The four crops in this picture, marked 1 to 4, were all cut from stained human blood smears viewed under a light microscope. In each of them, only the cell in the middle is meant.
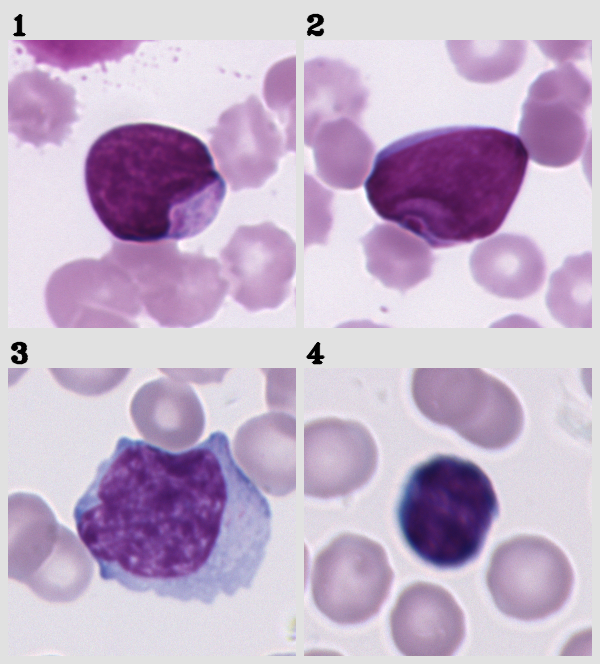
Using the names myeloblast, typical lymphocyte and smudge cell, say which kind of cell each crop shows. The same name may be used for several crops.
1: myeloblast
2: myeloblast
3: myeloblast
4: typical lymphocyte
